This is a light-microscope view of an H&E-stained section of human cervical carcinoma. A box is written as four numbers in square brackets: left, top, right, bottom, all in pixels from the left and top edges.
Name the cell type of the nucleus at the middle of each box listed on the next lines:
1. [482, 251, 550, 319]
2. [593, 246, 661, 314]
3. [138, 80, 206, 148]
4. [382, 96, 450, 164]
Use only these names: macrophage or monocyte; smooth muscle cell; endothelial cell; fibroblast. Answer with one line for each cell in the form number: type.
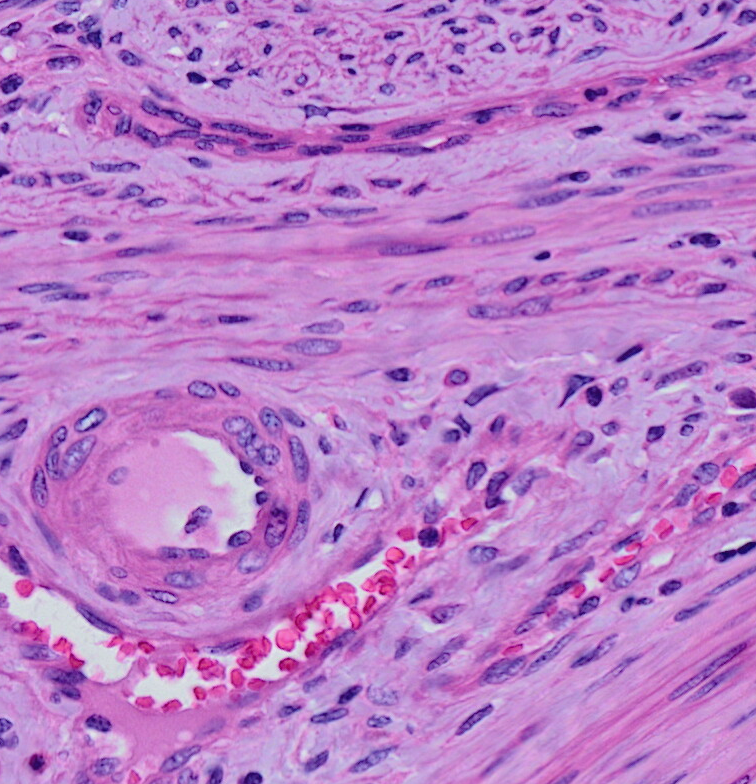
1: smooth muscle cell
2: smooth muscle cell
3: endothelial cell
4: endothelial cell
